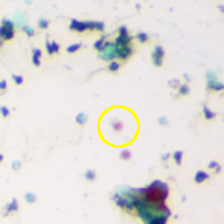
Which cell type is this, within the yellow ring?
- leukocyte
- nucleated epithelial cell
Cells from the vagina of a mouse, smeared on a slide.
Within the ring is a leukocyte.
